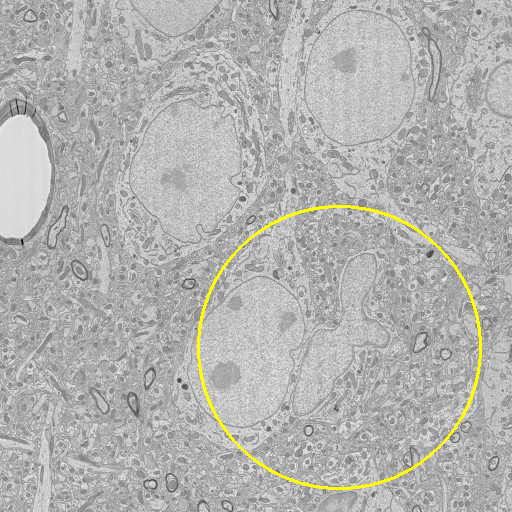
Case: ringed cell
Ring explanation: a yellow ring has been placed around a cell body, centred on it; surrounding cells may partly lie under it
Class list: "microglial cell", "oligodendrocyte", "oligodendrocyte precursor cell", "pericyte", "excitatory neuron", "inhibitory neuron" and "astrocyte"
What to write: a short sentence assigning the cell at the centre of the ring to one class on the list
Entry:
The cell at the ring's centre is an oligodendrocyte precursor cell.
